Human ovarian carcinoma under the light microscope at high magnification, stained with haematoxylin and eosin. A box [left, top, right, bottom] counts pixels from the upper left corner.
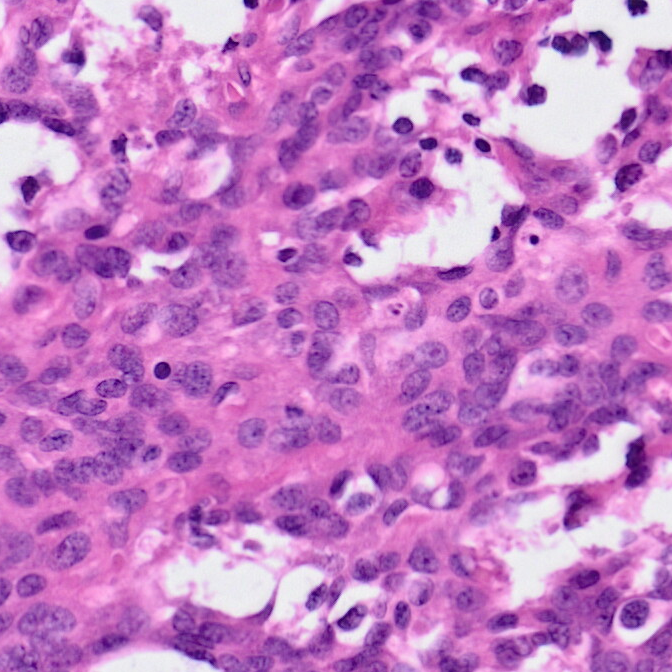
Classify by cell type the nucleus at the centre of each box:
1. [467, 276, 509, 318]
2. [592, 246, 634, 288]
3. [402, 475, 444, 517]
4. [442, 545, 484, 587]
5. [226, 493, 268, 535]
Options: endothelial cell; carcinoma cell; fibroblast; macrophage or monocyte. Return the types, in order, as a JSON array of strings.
["macrophage or monocyte", "endothelial cell", "carcinoma cell", "endothelial cell", "carcinoma cell"]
